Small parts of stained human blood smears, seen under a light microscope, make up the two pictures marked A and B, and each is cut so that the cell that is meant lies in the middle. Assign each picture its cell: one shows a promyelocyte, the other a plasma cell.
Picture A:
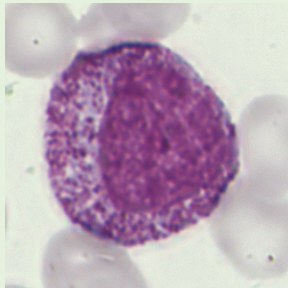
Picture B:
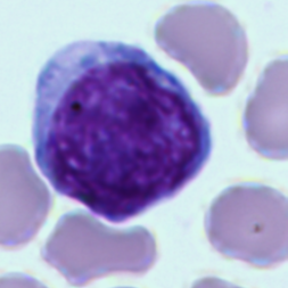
A: promyelocyte
B: plasma cell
